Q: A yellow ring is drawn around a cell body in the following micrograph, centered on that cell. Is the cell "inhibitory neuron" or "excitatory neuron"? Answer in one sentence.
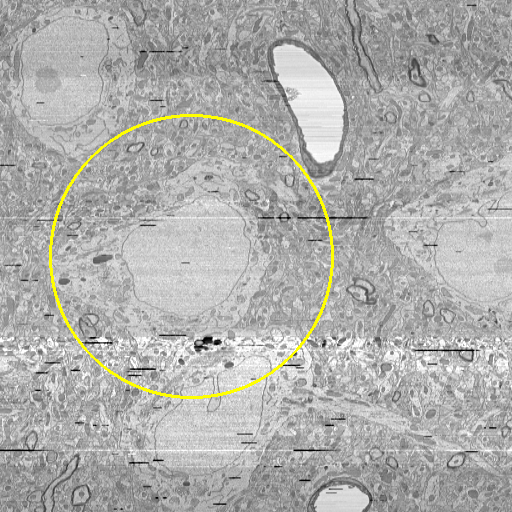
The cell in the center of the ring is an excitatory neuron.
